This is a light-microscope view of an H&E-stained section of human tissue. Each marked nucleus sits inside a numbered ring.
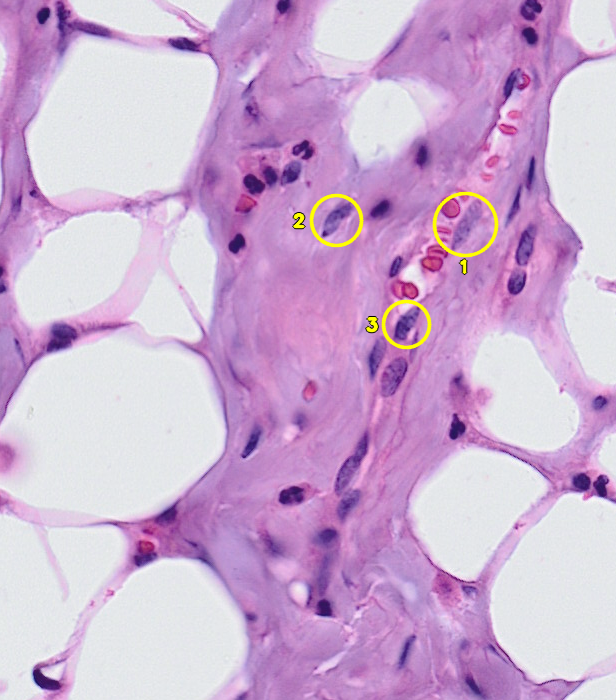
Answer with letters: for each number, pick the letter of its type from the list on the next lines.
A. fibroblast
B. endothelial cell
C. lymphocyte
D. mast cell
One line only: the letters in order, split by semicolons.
B; A; B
